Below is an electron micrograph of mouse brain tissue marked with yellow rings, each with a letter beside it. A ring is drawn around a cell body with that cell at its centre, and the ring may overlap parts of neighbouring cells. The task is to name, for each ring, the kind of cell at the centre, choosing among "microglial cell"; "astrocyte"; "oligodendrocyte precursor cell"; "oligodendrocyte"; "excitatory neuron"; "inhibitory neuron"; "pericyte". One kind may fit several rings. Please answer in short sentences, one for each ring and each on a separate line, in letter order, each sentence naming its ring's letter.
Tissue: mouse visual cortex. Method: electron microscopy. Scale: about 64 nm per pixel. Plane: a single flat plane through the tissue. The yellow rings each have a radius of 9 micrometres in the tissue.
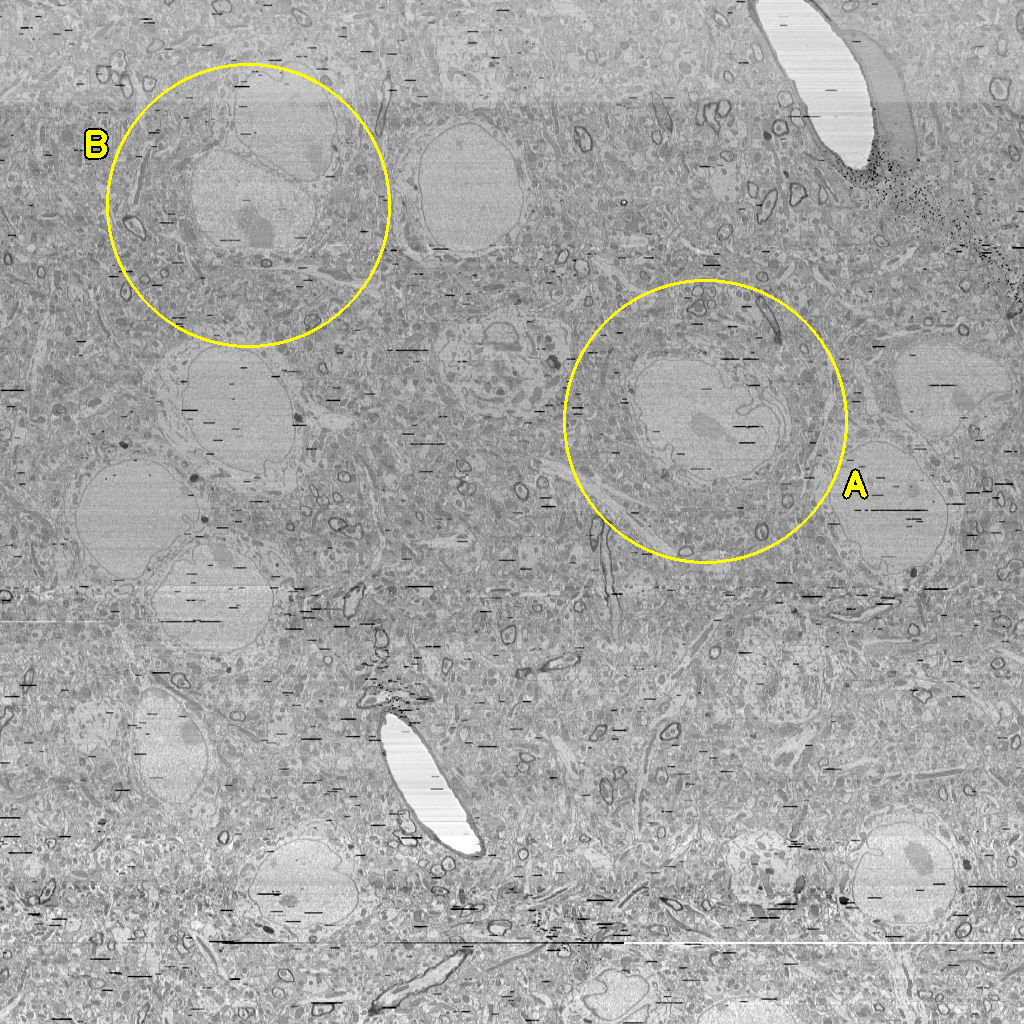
The ring with letter A is centred on an inhibitory neuron.
The ring with letter B is centred on an astrocyte.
